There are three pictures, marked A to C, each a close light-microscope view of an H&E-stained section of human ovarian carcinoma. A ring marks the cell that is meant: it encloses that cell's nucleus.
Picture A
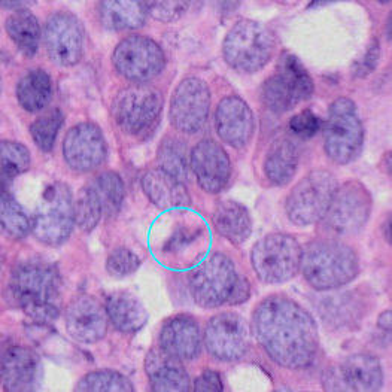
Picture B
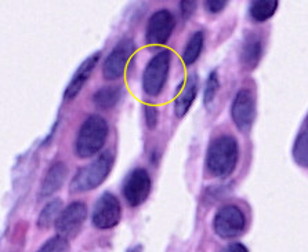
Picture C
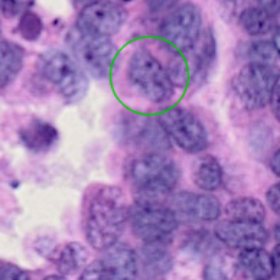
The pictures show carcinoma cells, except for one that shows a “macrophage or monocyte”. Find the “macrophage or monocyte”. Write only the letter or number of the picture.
A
